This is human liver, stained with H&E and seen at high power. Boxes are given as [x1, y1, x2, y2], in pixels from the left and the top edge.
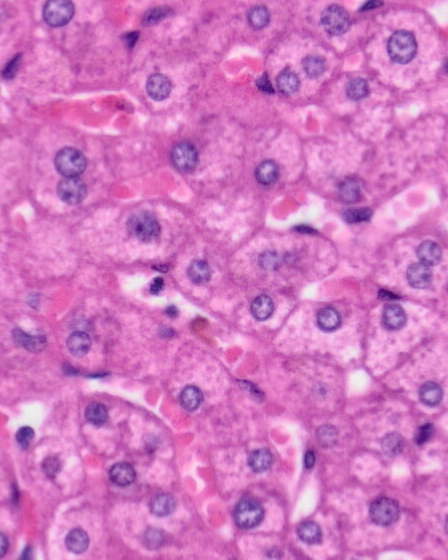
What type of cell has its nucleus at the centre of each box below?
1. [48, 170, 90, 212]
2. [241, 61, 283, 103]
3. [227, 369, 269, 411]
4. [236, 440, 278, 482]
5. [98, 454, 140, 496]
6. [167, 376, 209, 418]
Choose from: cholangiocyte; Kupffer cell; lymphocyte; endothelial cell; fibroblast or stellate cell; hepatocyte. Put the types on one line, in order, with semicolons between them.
hepatocyte; fibroblast or stellate cell; endothelial cell; hepatocyte; hepatocyte; hepatocyte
